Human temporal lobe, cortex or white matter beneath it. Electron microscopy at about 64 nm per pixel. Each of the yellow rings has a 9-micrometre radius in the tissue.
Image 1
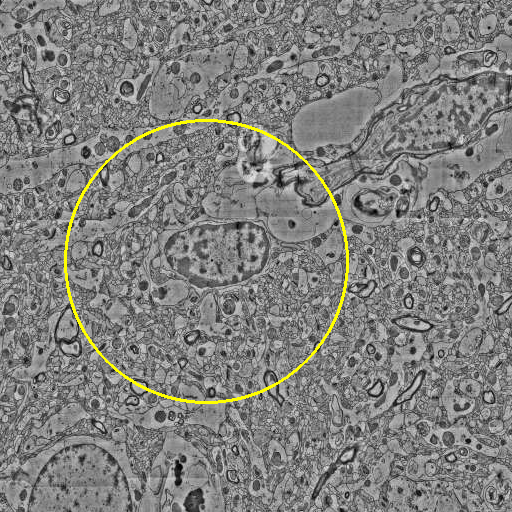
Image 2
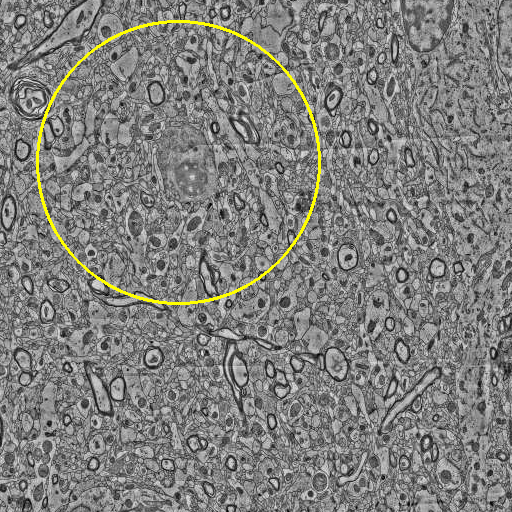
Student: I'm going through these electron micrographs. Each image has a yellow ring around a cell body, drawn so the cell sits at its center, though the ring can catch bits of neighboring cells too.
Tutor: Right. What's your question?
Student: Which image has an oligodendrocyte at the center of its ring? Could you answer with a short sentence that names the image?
Image 2 shows it at the center of its ring.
